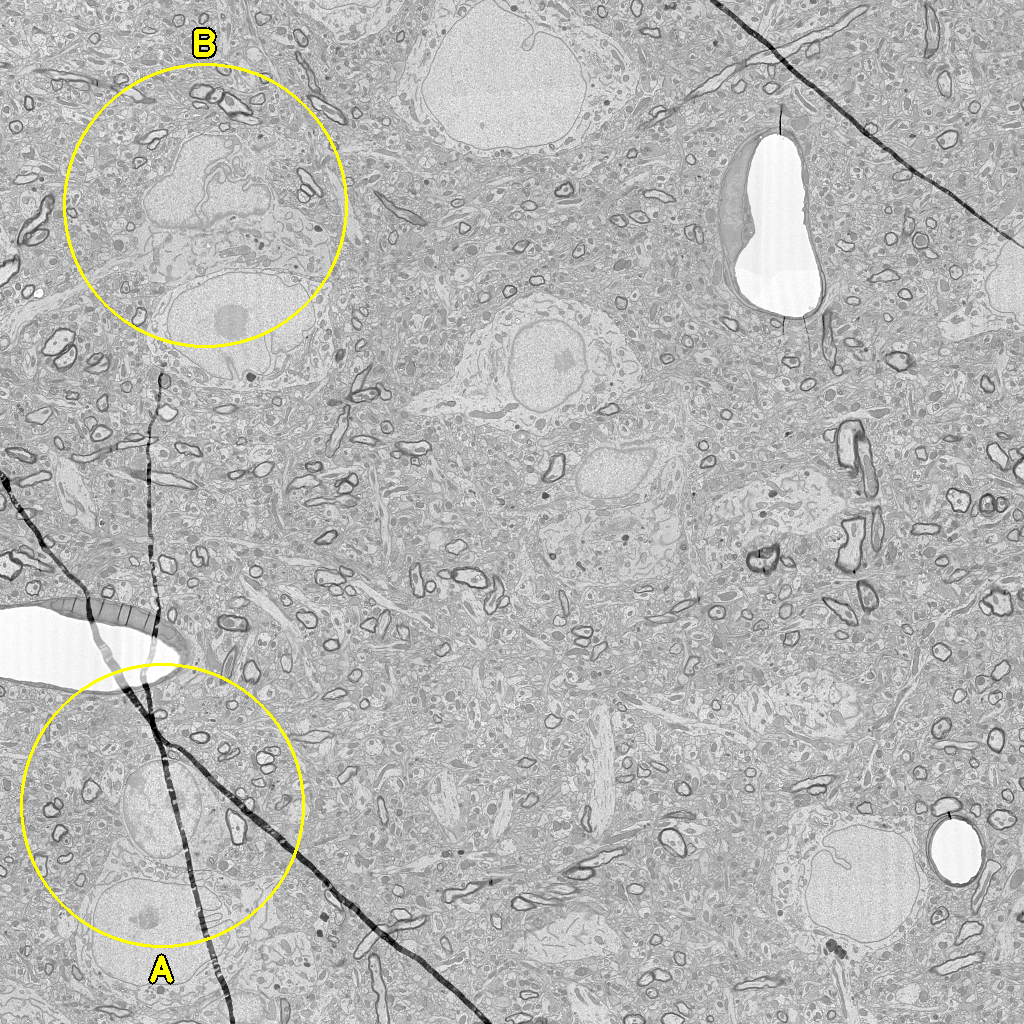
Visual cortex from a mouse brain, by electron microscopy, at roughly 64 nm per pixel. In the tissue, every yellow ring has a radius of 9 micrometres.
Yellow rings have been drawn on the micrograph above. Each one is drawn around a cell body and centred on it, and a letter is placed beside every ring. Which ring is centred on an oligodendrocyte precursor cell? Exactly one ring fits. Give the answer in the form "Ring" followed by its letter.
Ring B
